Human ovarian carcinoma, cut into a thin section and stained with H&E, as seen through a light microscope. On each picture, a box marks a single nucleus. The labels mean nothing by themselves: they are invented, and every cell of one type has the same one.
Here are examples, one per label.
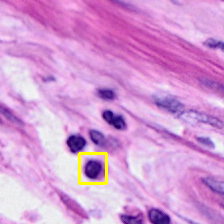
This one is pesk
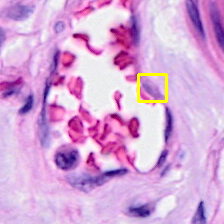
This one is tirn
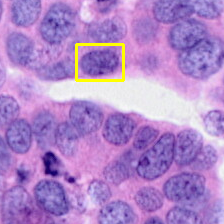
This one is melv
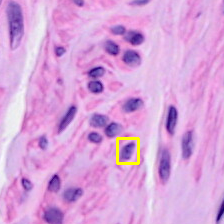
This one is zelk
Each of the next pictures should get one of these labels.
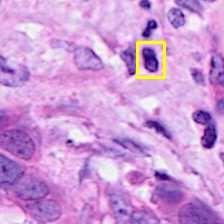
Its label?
pesk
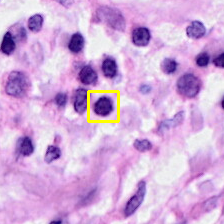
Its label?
pesk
